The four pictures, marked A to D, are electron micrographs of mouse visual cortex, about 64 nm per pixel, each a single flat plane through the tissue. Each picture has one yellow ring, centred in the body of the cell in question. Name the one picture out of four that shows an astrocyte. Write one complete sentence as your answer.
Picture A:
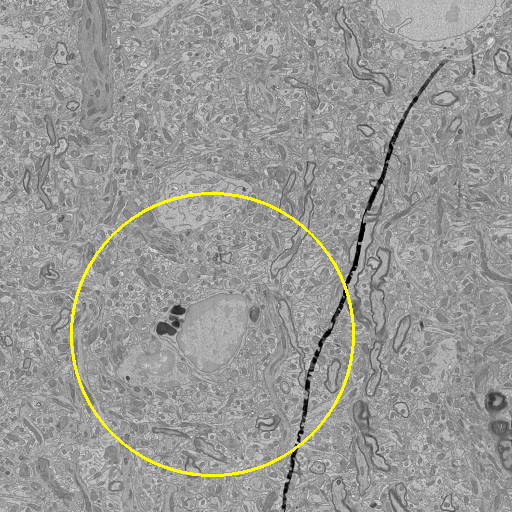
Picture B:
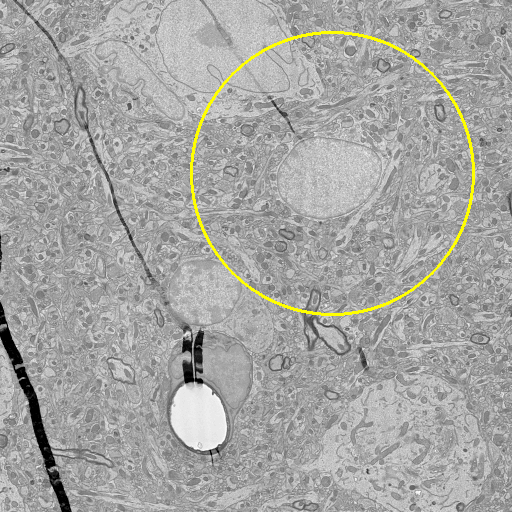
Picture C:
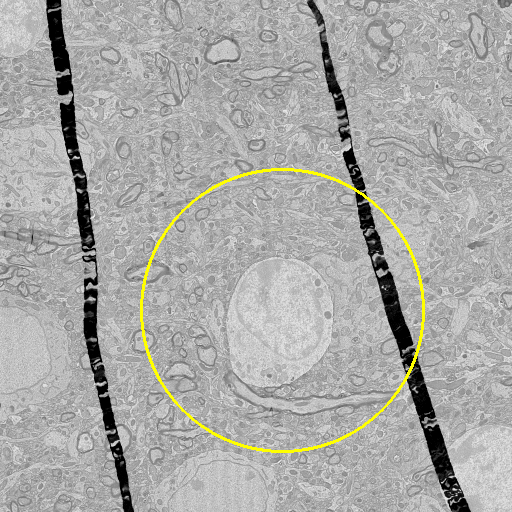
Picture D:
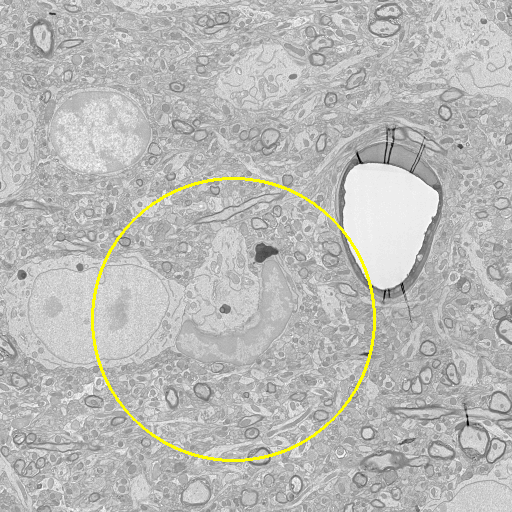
The astrocyte is the one in picture B.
